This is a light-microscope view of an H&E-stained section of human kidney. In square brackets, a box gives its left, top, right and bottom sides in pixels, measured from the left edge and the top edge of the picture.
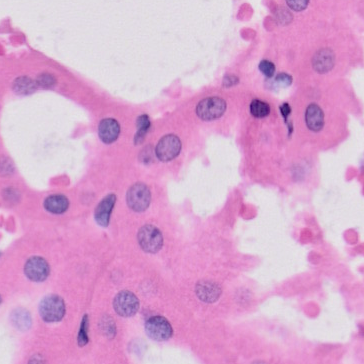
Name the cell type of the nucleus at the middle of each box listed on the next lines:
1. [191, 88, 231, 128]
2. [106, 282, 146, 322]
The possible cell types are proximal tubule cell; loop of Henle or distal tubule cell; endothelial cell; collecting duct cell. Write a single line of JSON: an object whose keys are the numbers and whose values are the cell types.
{"1": "proximal tubule cell", "2": "loop of Henle or distal tubule cell"}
